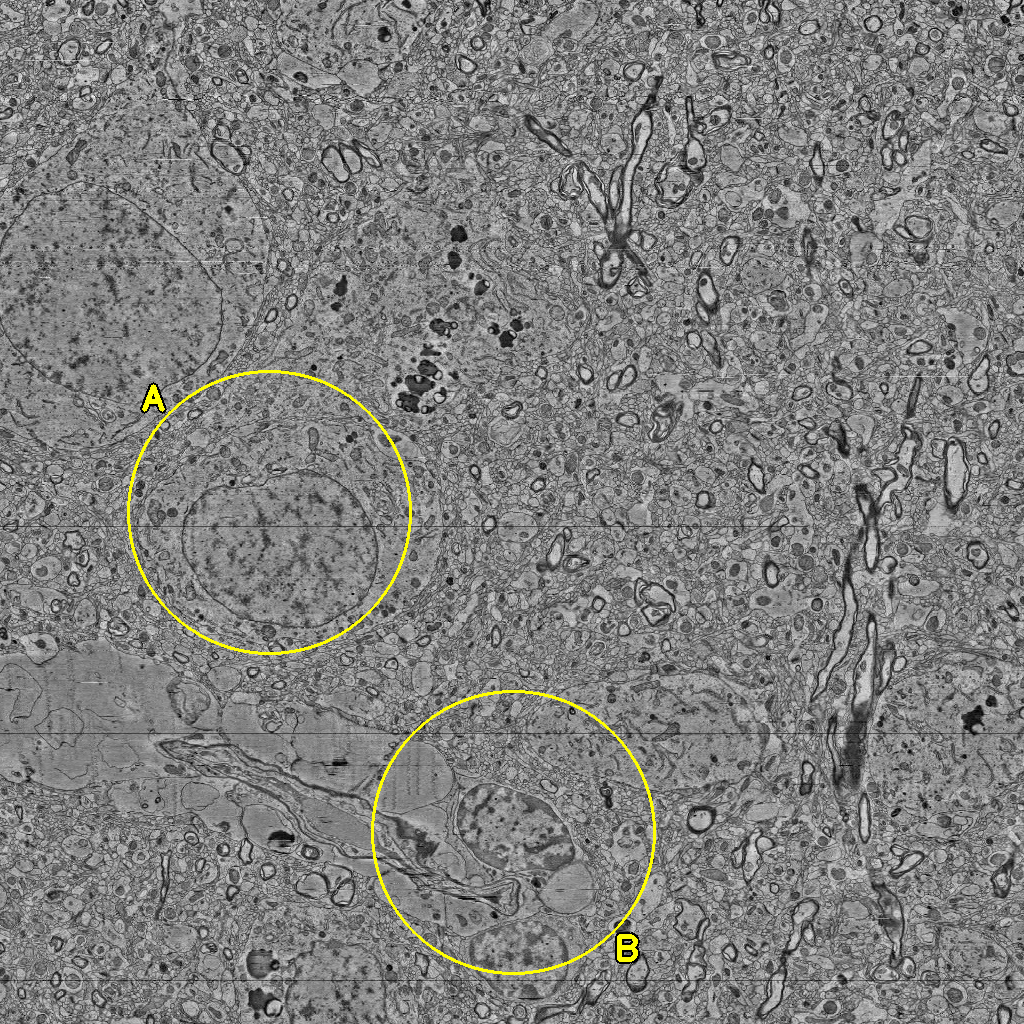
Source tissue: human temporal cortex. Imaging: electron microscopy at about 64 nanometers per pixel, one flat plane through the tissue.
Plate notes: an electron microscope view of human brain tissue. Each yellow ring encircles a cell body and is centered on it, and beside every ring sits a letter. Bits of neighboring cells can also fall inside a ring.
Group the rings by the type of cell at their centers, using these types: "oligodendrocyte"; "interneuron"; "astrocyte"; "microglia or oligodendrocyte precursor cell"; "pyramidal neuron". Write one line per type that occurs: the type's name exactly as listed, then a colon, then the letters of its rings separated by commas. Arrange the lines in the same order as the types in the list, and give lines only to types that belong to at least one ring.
interneuron: A
microglia or oligodendrocyte precursor cell: B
